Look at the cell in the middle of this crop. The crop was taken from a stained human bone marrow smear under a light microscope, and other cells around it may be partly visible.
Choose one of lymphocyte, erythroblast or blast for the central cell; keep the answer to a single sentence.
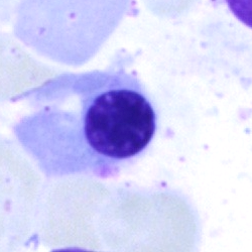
On this slide crop, the central cell is an erythroblast.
